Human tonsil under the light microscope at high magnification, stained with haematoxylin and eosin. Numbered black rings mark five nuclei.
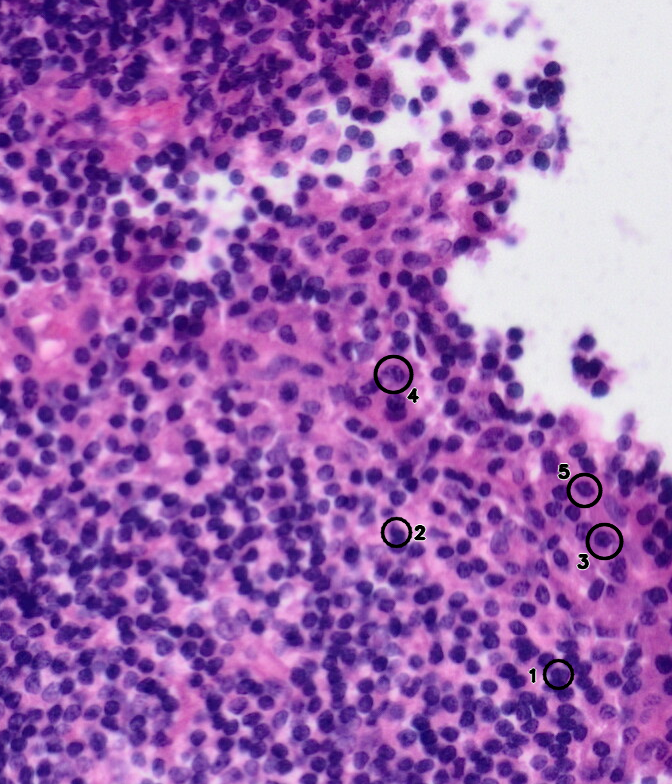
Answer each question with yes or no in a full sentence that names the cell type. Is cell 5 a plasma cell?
Yes, the cell that bears number 5 is a plasma cell.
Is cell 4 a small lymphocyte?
No, it is a plasma cell, rather than a small lymphocyte, that carries number 4.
